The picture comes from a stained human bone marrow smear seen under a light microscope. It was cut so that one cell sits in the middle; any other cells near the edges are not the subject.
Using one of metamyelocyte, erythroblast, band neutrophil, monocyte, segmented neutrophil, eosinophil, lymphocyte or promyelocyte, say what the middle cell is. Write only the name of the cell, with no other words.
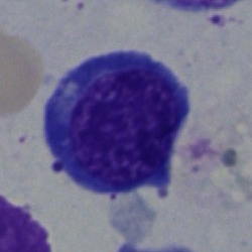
erythroblast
